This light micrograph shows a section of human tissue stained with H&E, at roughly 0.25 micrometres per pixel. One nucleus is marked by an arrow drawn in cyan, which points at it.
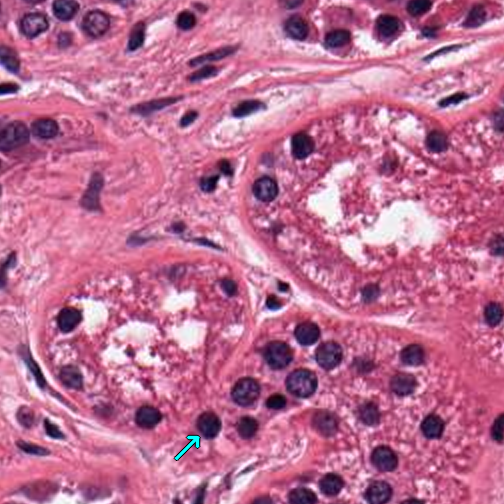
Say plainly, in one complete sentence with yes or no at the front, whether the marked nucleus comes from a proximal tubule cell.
Yes, the marked nucleus is the nucleus of a proximal tubule cell.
